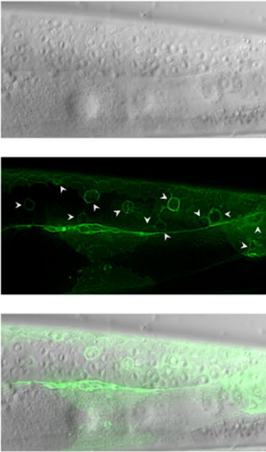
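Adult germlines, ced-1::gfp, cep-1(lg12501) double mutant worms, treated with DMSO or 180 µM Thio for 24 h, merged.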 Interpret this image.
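In the grey image the germ cells appear as many small, evenly sized round nuclei filling the tube. In the green image the outline of the gonad and a band of bright signal run along its length, and about a dozen small round green rings are scattered among the germ cells. White arrowheads point to these rings, which enclose apoptotic germ cell corpses about the size of one germ cell. The overlay shows the rings lying within the layer of germ cells.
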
